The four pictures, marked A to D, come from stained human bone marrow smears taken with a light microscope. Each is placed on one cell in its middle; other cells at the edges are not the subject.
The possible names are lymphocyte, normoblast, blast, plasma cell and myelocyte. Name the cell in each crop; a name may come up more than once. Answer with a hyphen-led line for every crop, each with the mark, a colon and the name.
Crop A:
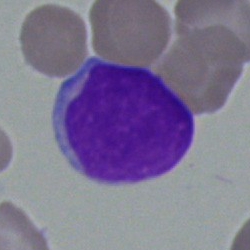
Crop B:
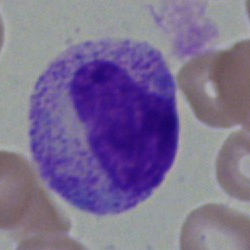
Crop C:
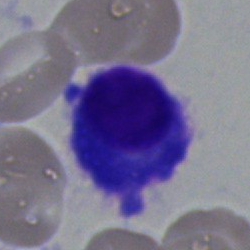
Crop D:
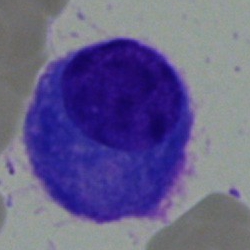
- A: blast
- B: myelocyte
- C: plasma cell
- D: plasma cell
